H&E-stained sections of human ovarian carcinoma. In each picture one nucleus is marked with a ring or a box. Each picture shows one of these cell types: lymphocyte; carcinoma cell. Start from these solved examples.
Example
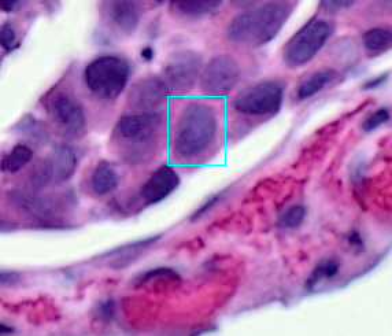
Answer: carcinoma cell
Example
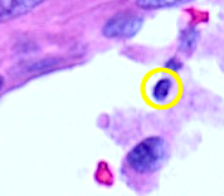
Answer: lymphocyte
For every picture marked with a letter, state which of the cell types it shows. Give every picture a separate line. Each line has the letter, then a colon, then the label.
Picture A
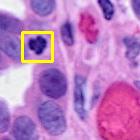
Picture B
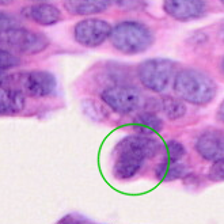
A: lymphocyte
B: carcinoma cell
